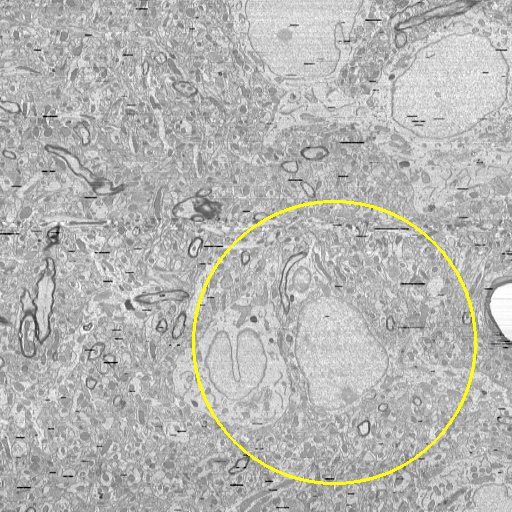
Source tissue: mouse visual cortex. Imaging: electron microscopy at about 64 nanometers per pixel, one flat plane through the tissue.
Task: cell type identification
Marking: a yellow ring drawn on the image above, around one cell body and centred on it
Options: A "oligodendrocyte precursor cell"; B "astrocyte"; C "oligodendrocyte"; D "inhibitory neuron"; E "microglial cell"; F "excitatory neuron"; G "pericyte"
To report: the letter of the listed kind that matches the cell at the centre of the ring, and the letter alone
B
